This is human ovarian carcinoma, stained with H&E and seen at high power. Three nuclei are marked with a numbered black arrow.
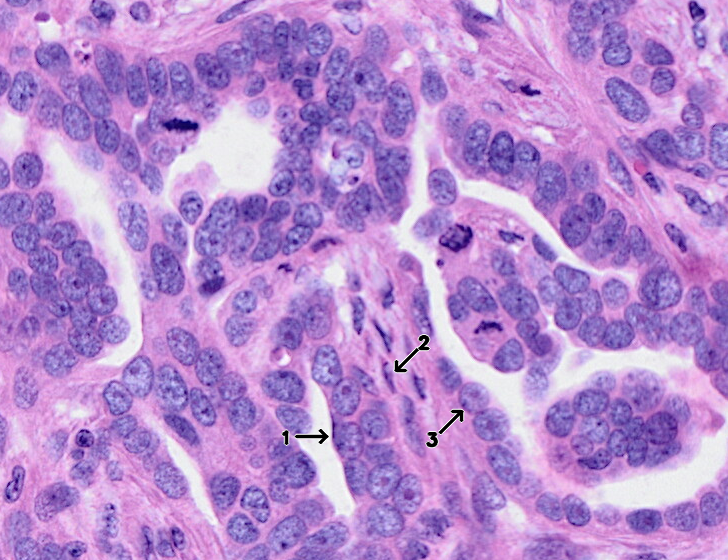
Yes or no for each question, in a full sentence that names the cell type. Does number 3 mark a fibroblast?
No, cell 3 is a carcinoma cell, not a fibroblast.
